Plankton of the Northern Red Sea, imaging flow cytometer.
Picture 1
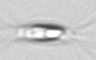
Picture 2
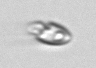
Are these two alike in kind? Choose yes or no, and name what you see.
No. First Chrysochromulina parkeae, second Kapelodinium.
